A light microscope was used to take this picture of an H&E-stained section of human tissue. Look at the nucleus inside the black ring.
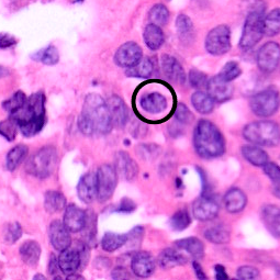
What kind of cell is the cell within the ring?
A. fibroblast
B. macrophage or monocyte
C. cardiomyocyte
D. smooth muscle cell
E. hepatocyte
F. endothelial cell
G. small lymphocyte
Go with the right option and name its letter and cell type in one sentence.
Option B correctly identifies the cell within the ring as a macrophage or monocyte.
